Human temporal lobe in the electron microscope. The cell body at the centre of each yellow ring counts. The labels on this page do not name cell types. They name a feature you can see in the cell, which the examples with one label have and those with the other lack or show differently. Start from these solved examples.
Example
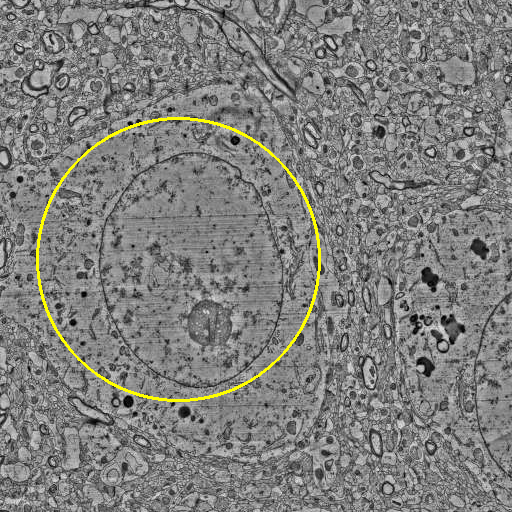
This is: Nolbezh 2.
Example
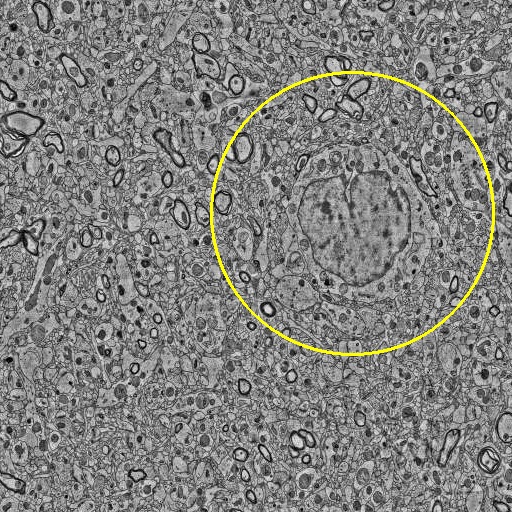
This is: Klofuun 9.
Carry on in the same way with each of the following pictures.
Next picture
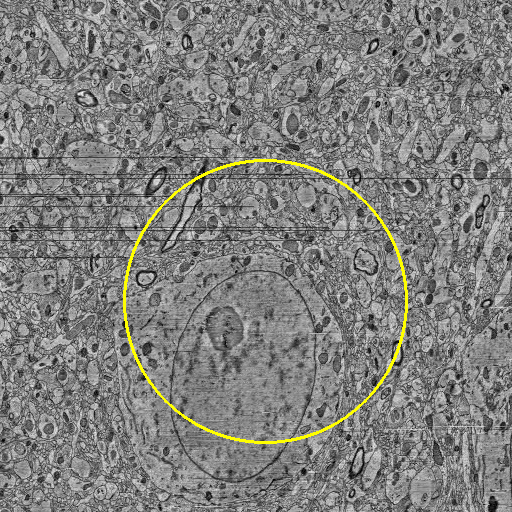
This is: Nolbezh 2.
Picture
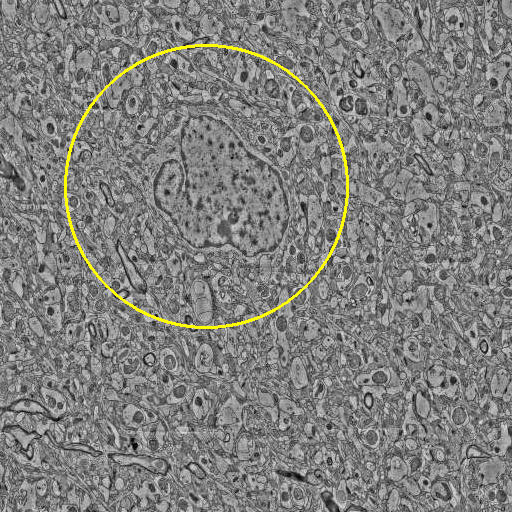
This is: Klofuun 9.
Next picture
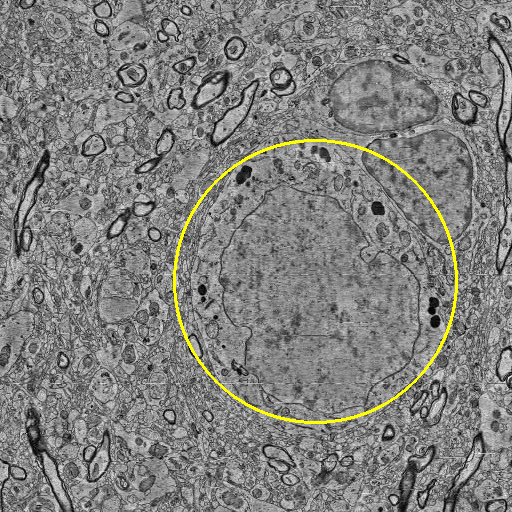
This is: Klofuun 9.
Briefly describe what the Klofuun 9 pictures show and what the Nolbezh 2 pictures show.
Seen in Klofuun 9: deeply folded or indented nuclear envelopes; seen in Nolbezh 2: smooth nuclear envelopes without deep folds.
